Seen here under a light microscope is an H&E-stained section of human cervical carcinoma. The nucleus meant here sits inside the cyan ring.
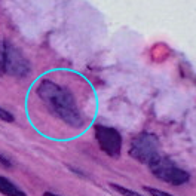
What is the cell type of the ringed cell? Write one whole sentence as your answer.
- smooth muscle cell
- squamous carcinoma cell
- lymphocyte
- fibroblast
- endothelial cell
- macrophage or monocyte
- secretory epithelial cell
As classified here, the ringed cell is a secretory epithelial cell.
